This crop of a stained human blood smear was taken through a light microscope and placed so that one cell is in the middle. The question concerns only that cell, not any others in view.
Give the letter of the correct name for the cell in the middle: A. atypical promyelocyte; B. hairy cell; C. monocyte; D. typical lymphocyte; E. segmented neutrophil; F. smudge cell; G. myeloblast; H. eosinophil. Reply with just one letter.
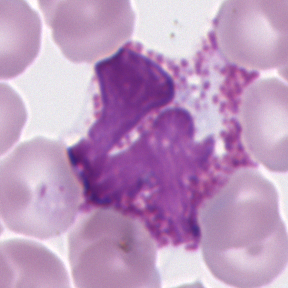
H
